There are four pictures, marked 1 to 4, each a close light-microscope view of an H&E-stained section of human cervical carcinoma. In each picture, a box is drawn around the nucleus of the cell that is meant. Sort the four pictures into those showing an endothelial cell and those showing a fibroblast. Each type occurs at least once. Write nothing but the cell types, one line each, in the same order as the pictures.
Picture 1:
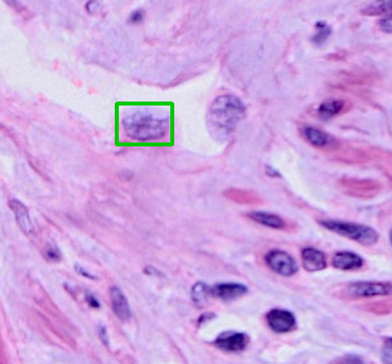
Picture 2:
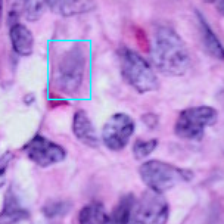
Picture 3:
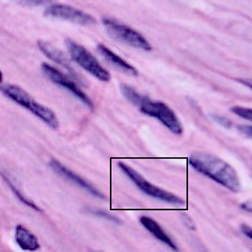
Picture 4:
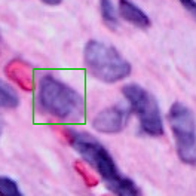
endothelial cell
endothelial cell
fibroblast
endothelial cell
